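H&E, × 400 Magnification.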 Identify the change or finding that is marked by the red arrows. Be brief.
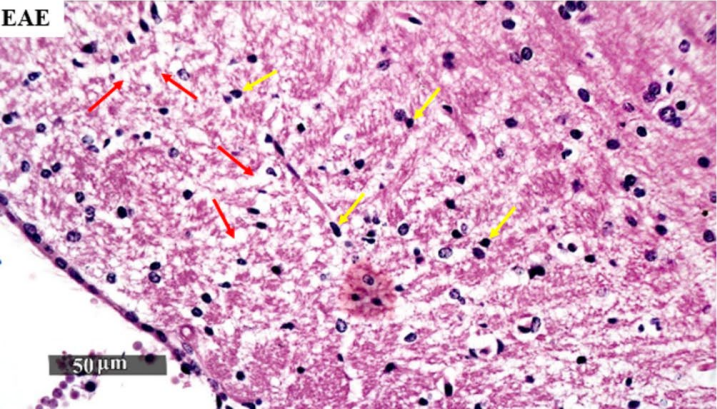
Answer: Disorganized myelinated nerve fibers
